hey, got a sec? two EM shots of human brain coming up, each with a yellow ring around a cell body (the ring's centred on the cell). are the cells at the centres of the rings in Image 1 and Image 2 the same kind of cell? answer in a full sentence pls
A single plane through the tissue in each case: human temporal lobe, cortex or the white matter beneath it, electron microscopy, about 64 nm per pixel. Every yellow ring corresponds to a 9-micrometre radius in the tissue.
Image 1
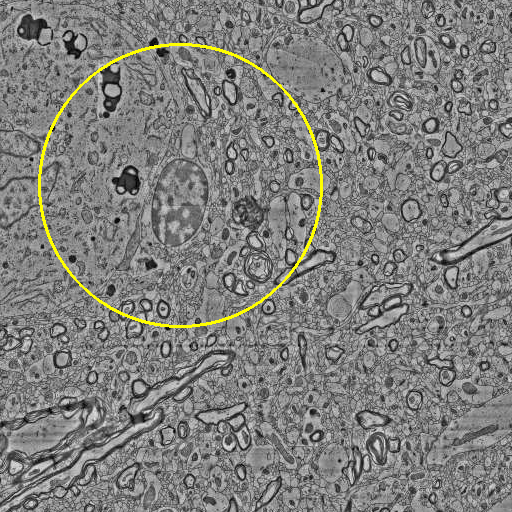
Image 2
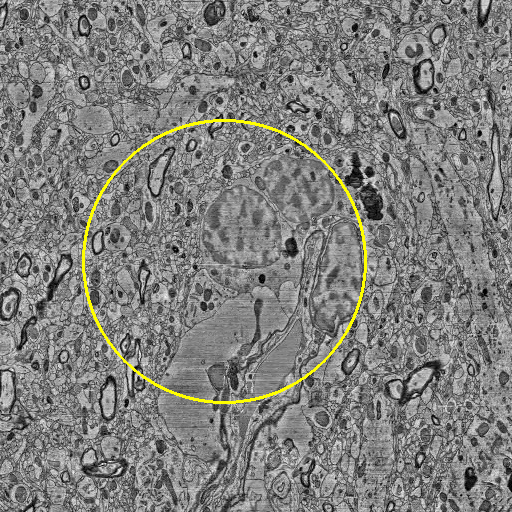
No, they are two kinds of cell.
